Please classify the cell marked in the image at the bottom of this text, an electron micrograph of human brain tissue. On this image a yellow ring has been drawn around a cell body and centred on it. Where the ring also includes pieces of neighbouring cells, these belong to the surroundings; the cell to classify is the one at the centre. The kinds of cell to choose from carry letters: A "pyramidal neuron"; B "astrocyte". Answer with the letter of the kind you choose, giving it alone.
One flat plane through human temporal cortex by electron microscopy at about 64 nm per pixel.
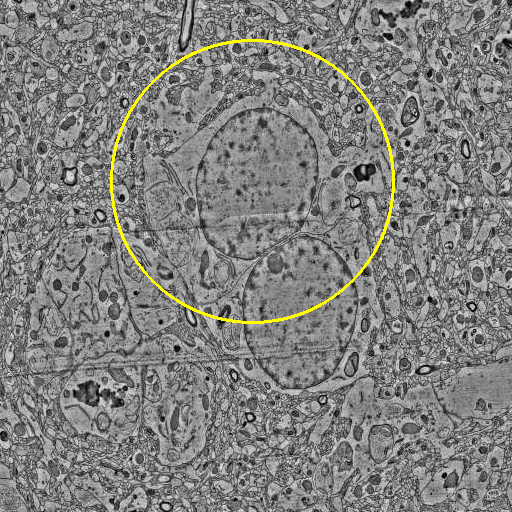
B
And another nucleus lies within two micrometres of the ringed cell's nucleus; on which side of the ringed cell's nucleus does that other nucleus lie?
The other nucleus is situated to the lower right of it.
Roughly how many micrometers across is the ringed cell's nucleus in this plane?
The nucleus of the ringed cell is approximately 10 by 8 micrometres in this plane.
